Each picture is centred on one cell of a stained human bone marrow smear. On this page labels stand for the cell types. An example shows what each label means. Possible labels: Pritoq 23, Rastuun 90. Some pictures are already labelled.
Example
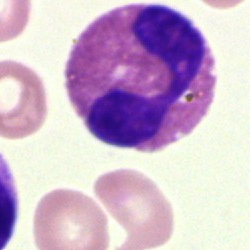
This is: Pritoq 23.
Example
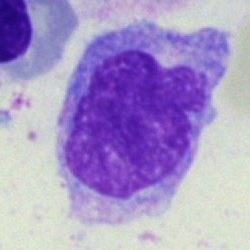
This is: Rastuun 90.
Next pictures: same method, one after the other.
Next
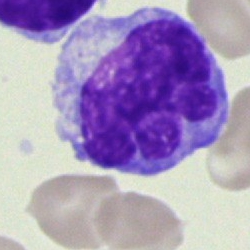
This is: Rastuun 90.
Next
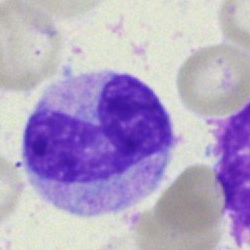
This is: Rastuun 90.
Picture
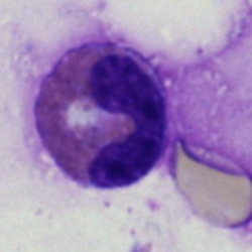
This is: Pritoq 23.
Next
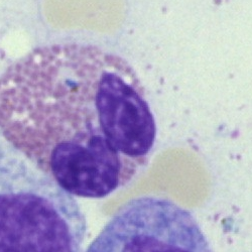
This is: Pritoq 23.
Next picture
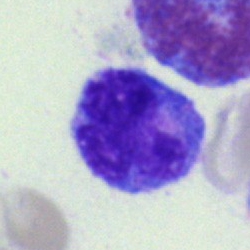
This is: Rastuun 90.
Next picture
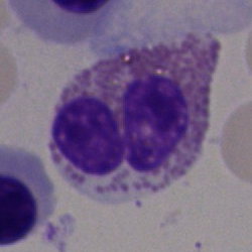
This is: Pritoq 23.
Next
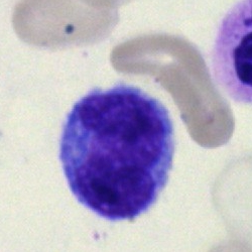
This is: Rastuun 90.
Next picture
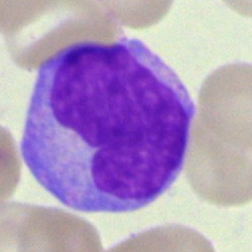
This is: Rastuun 90.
